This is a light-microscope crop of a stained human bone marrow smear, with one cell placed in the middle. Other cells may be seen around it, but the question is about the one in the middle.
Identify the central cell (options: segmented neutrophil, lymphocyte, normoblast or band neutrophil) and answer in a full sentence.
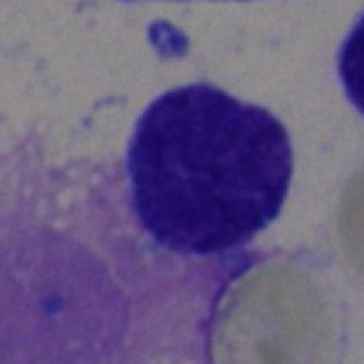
Within this crop, a lymphocyte occupies the central position.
